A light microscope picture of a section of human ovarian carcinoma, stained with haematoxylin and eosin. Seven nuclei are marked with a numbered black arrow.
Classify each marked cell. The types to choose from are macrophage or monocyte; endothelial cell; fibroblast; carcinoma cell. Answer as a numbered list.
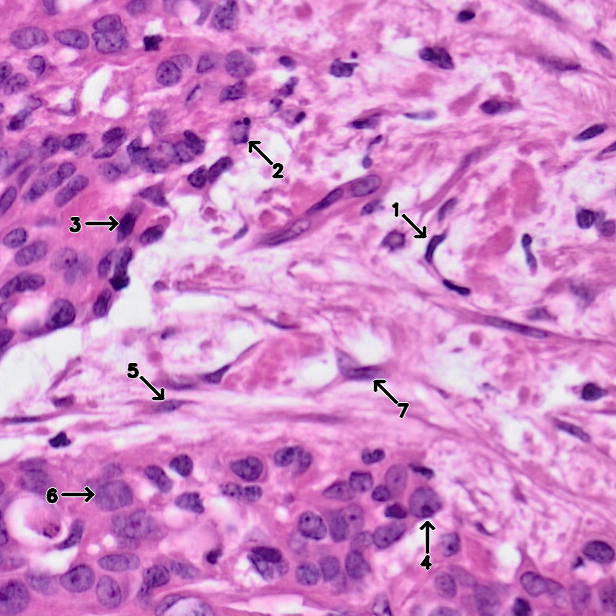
1. fibroblast
2. macrophage or monocyte
3. carcinoma cell
4. carcinoma cell
5. fibroblast
6. carcinoma cell
7. fibroblast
